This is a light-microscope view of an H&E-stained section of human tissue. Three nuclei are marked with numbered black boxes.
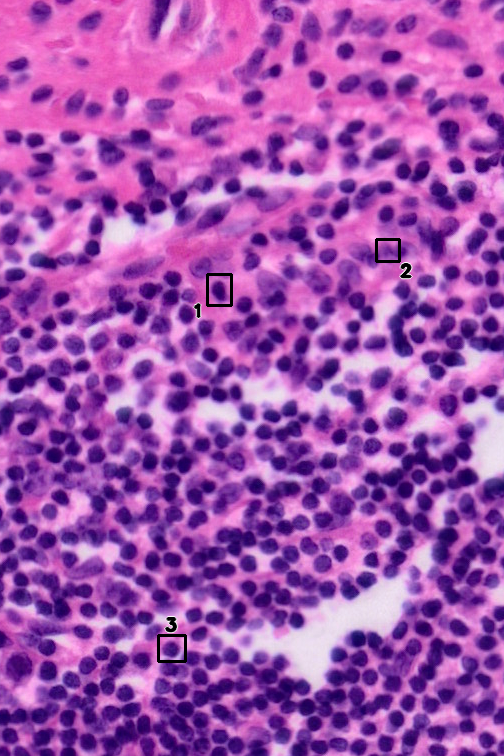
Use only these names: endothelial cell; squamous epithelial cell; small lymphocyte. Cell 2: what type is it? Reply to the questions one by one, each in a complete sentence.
The marked cell bearing number 2 is an endothelial cell.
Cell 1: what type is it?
The cell marked with number 1 is an endothelial cell.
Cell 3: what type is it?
The nucleus labeled 3 belongs to a small lymphocyte.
